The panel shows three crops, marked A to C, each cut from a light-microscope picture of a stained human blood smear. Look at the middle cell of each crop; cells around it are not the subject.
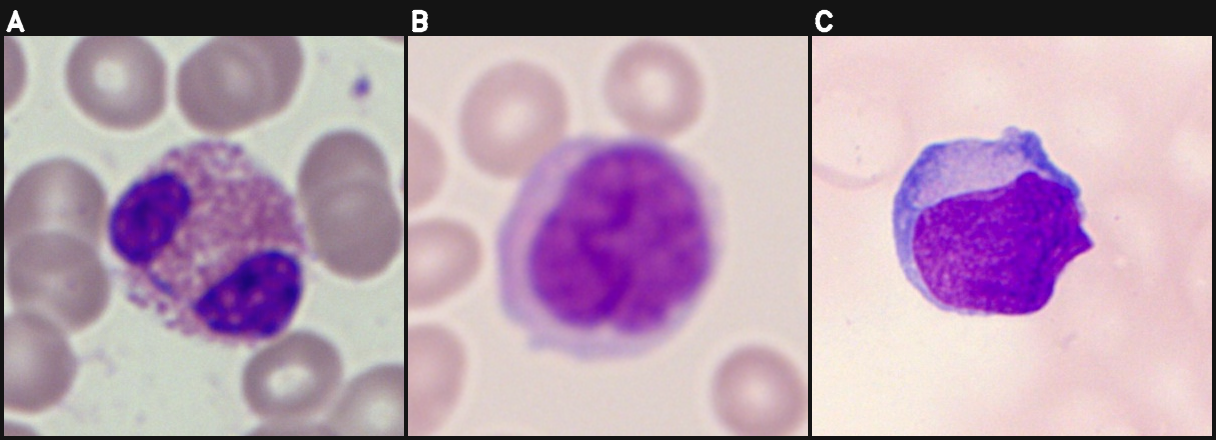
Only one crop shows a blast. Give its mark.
C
